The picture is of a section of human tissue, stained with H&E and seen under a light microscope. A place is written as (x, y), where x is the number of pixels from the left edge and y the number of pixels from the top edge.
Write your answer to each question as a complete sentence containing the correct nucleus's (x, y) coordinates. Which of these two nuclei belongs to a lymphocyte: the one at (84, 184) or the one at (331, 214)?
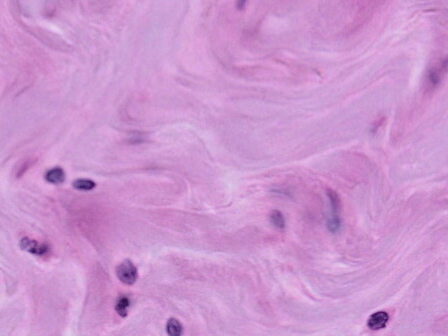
Lying within a lymphocyte is the nucleus at (84, 184).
